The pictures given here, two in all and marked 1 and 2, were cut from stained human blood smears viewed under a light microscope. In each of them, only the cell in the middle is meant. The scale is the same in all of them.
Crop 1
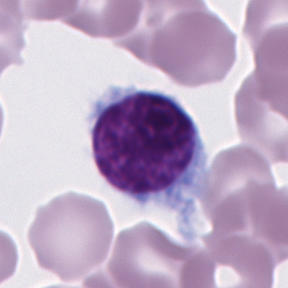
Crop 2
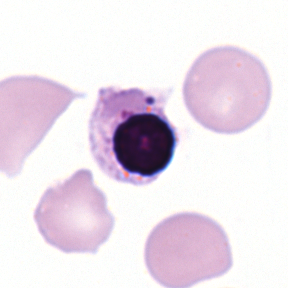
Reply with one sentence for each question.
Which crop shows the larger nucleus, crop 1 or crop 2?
The nucleus in crop 1 is larger, with about 2.5 times the area of the one in crop 2.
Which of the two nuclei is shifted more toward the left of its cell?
It is the nucleus in crop 1 that lies further toward the left of its cell.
